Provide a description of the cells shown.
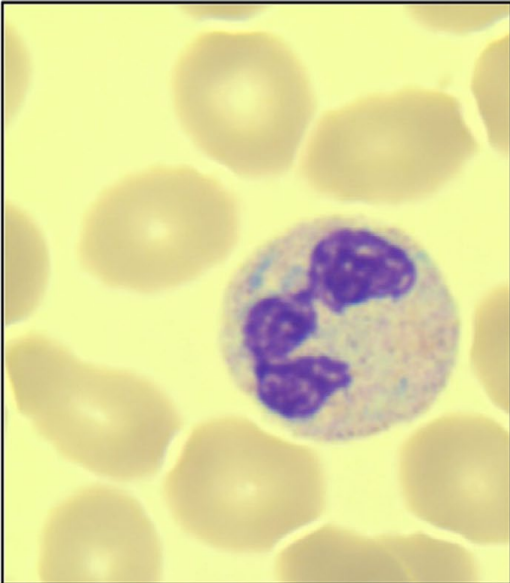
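This is a single neutrophil in a peripheral blood smear, surrounded by pale tan red blood cells. The neutrophil is clearly larger than the red cells. Its nucleus is dark purple and divided into three lobes joined by narrow strands, with clumped chromatin. The cytoplasm around it is pale and filled with fine pinkish-lilac granules.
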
